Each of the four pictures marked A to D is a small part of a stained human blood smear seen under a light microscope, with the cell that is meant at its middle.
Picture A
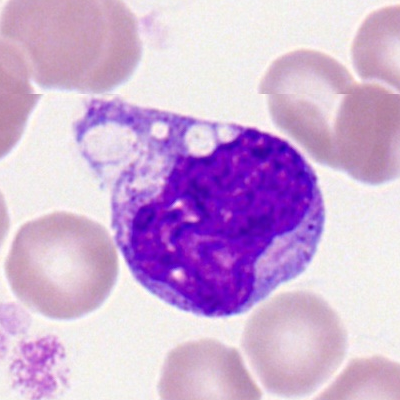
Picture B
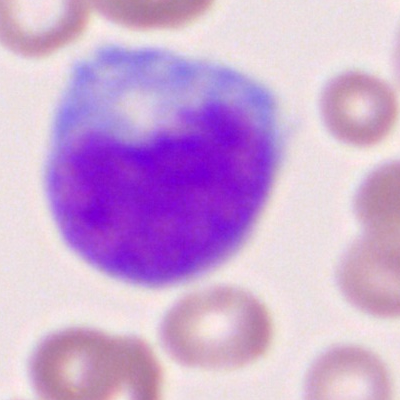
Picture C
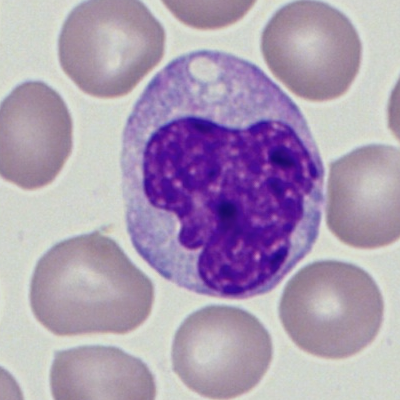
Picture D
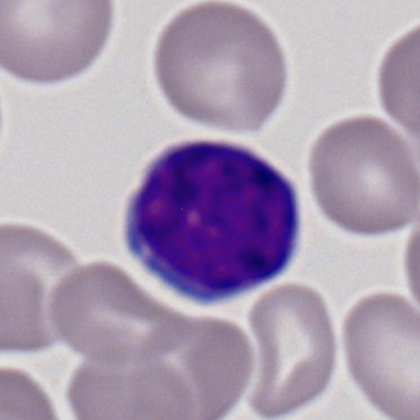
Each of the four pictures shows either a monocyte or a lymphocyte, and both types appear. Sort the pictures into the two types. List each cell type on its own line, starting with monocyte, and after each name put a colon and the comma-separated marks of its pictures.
monocyte: A, B, C
lymphocyte: D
